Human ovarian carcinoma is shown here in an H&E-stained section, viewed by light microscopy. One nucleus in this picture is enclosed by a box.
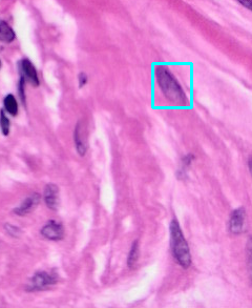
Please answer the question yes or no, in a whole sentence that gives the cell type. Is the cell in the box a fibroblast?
Yes, the cell in the box is, by its type, a fibroblast.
